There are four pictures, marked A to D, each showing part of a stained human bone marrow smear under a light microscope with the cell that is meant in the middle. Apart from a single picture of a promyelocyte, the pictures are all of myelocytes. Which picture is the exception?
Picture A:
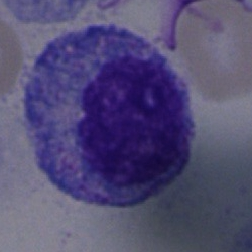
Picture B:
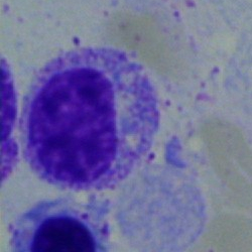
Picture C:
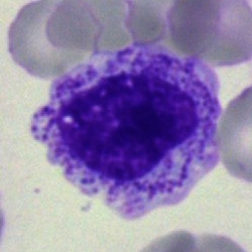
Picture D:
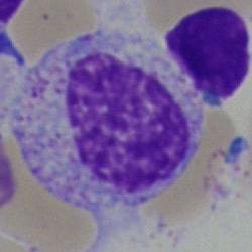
A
